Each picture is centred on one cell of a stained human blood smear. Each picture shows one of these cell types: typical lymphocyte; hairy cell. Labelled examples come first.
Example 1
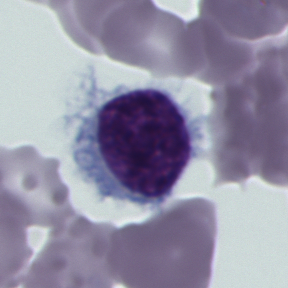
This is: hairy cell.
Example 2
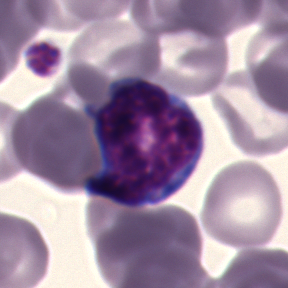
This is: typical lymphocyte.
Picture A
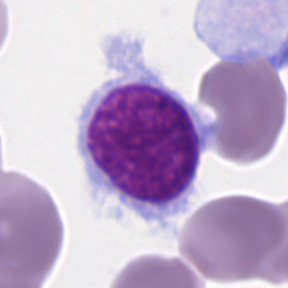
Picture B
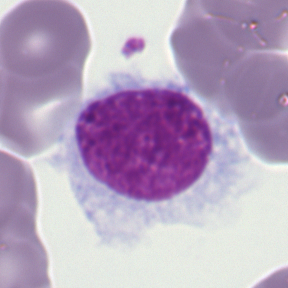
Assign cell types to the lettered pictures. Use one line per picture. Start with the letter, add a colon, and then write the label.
A: hairy cell.
B: hairy cell.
